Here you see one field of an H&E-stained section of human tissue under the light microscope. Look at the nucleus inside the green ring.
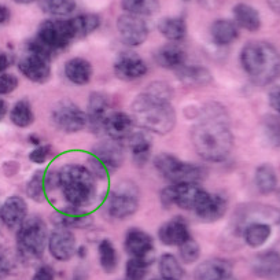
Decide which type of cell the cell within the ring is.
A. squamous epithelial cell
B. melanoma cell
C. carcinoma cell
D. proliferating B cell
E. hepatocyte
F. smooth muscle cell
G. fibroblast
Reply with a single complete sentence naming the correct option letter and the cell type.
Option D names the cell within the ring correctly as a proliferating B cell.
